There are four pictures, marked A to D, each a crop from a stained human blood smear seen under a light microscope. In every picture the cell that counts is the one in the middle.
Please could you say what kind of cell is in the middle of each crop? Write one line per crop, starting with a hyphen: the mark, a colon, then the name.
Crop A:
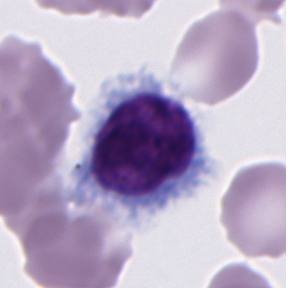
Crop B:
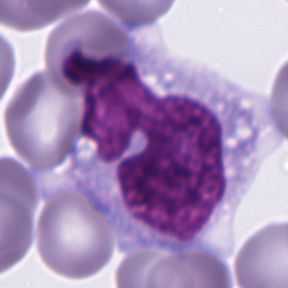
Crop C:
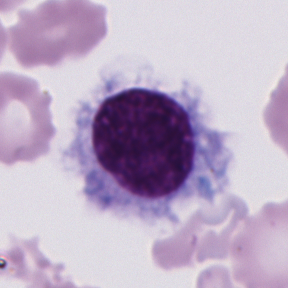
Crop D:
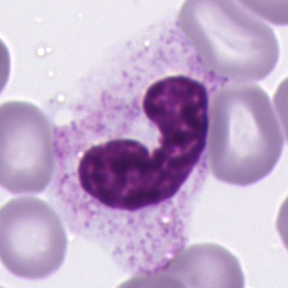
- A: hairy cell
- B: monocyte
- C: hairy cell
- D: band neutrophil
